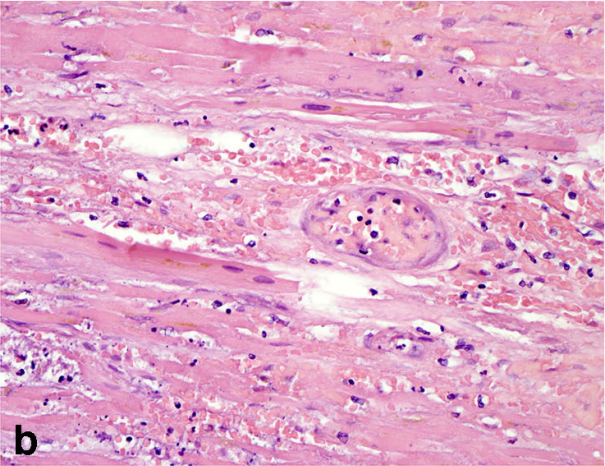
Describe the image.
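Myocardium with microvascular damage and extravasation of erythrocytes. Elongated pink cardiac muscle fibres with oval nuclei run horizontally, and between them lie broad bands of free red blood cells outside the vessels. Some fibres show fine golden-brown granules. Pale empty spaces appear between groups of fibres, and the interstitium is widened by the haemorrhage.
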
